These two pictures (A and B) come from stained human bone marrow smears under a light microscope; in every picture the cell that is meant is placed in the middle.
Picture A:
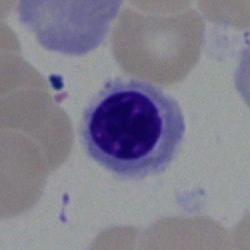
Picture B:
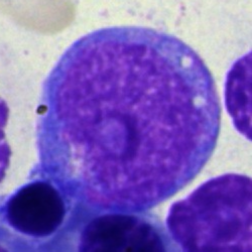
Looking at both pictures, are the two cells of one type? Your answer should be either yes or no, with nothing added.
no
